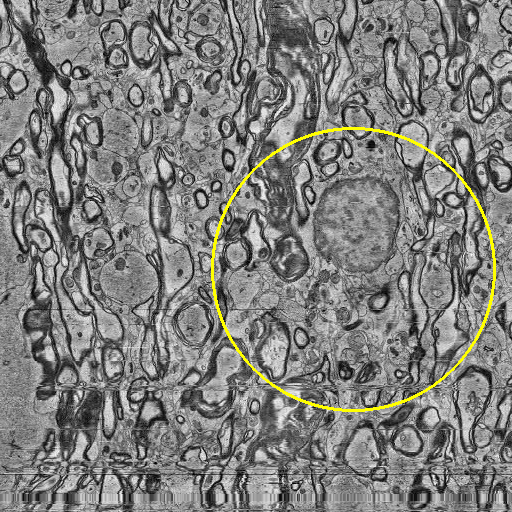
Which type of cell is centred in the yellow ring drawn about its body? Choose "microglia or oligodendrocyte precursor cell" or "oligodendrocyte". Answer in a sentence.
The yellow ring surrounds the cell body of an oligodendrocyte.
